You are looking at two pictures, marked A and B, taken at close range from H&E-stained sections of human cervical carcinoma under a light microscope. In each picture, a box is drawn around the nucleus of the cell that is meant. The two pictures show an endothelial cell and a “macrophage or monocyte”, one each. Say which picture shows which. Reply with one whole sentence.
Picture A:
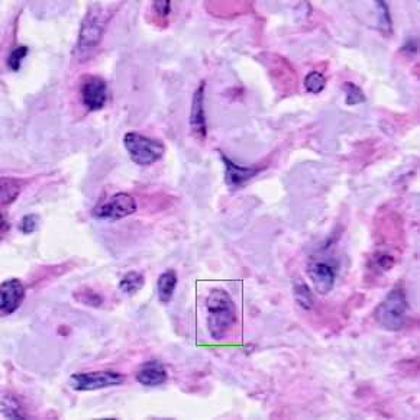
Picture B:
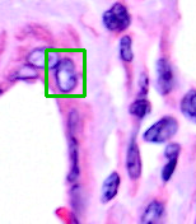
It is picture A that shows a “macrophage or monocyte”, and picture B that shows an endothelial cell.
